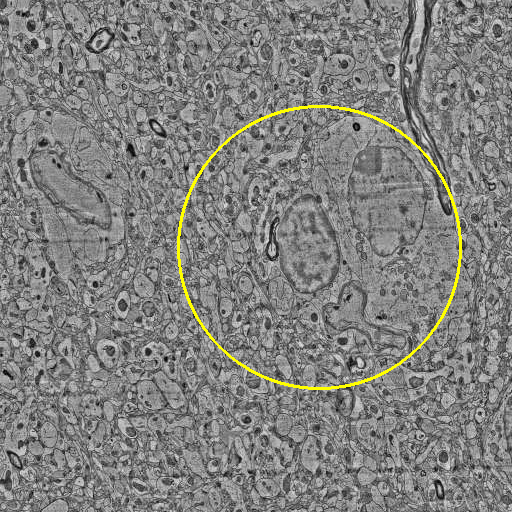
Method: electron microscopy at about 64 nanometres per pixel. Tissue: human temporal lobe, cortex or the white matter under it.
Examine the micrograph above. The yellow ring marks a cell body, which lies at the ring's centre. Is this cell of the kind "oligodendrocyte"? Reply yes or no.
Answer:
yes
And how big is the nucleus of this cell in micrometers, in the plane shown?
In this plane the nucleus measures roughly 6 by 4 micrometers.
